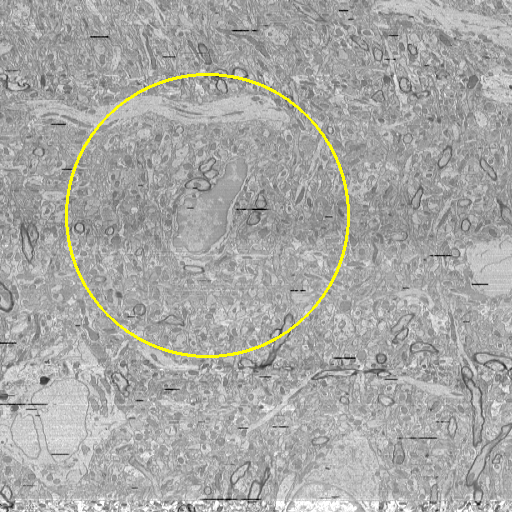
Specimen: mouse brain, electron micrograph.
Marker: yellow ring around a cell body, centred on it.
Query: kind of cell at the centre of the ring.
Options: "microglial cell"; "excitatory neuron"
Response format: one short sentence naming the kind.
This cell body belongs to a microglial cell.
